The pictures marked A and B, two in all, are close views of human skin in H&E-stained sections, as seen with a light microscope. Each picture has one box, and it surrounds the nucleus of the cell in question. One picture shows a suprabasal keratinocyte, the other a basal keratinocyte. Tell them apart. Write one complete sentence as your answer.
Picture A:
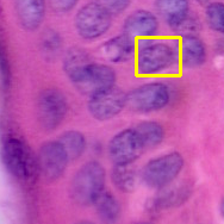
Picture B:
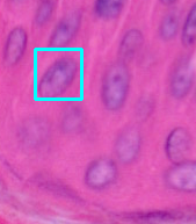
Picture A is of a basal keratinocyte, and picture B is of a suprabasal keratinocyte.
